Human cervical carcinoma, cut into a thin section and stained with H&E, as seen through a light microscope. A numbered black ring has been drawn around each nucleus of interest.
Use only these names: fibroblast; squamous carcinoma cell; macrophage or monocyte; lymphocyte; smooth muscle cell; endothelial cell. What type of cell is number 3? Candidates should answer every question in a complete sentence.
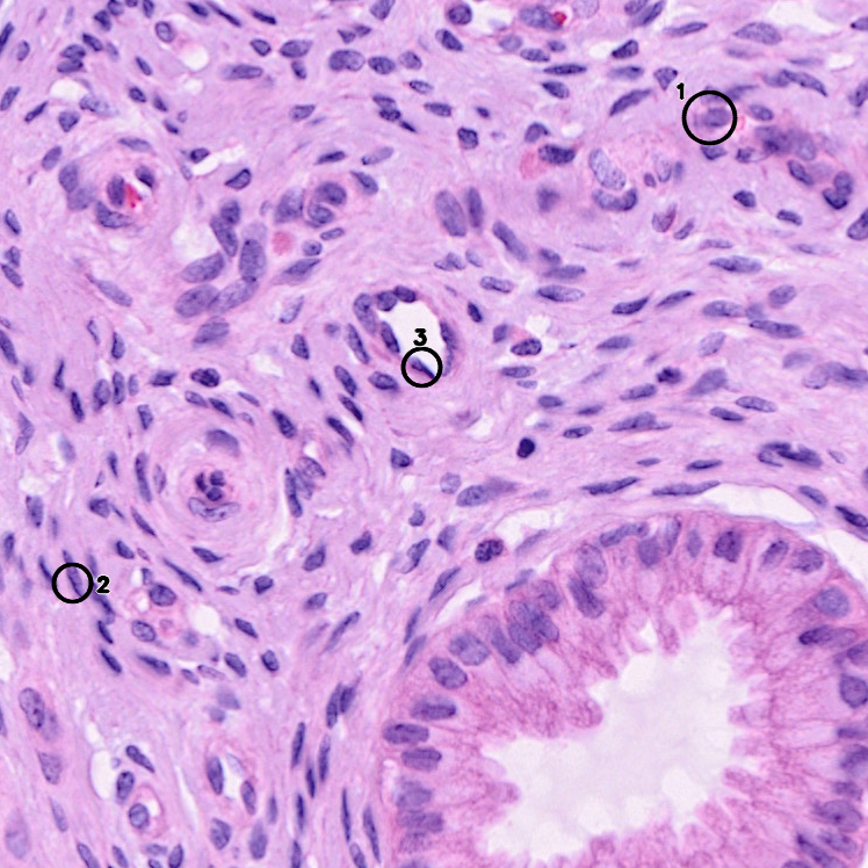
Corresponding to an endothelial cell is the cell labelled 3.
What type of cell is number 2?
The cell indicated with the number 2 is classed as a fibroblast.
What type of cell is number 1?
Nucleus 1 in this section belongs to an endothelial cell.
